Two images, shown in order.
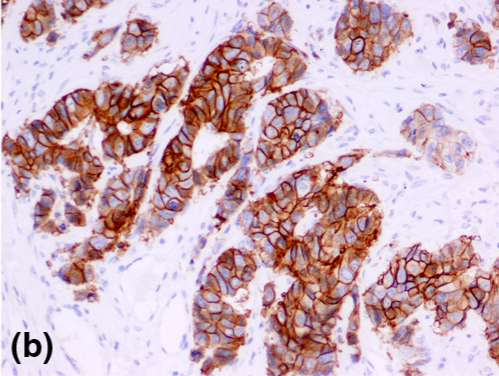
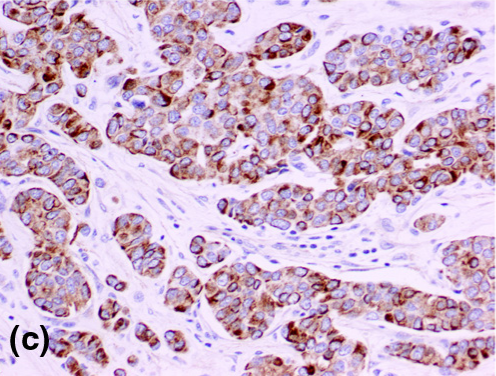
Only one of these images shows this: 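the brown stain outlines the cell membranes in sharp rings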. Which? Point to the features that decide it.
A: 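Second image: brown stain is spread through the cytoplasm without sharp cell borders. First image: brown stain draws crisp complete outlines around each cell.
Hence: the first image.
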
